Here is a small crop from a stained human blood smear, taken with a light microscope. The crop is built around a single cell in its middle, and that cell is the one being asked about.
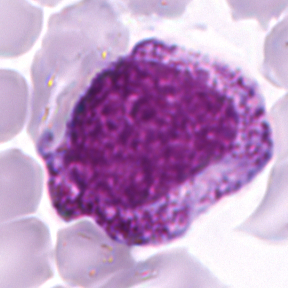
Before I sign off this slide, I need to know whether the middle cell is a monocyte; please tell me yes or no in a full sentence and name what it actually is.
No, in the centre of the crop lies a promyelocyte, not a monocyte.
